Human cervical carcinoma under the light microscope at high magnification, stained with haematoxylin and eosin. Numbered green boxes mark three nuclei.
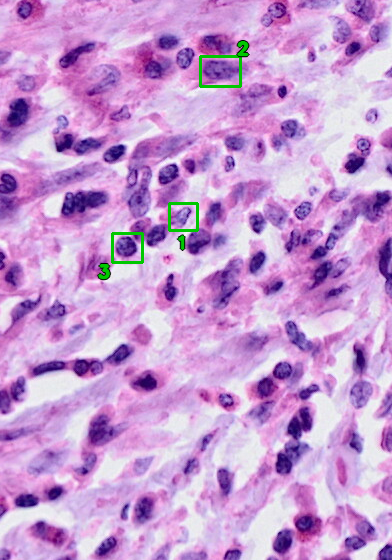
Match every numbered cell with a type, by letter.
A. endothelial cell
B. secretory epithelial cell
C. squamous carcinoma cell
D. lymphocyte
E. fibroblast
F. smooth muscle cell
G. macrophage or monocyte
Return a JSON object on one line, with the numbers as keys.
{"1": "D", "2": "G", "3": "D"}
